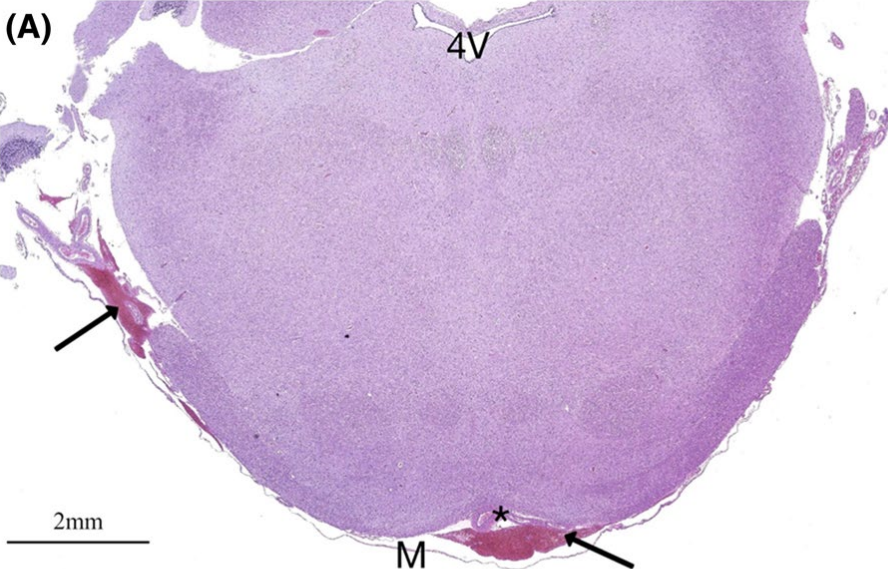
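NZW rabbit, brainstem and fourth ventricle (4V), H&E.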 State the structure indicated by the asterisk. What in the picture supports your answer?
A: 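The asterisk marks a small round vessel at the ventral midline of the brainstem. The vessel lies on the surface beside a red collection.
Basilar artery.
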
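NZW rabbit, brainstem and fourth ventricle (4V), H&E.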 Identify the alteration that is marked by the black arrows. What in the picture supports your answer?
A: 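The arrows point to deep red collections on the surface of the brainstem. One collection lies at the ventral midline, another at the left lateral surface. The red collections lie outside the purple brain tissue.
Subleptomeningeal hemorrhage.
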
